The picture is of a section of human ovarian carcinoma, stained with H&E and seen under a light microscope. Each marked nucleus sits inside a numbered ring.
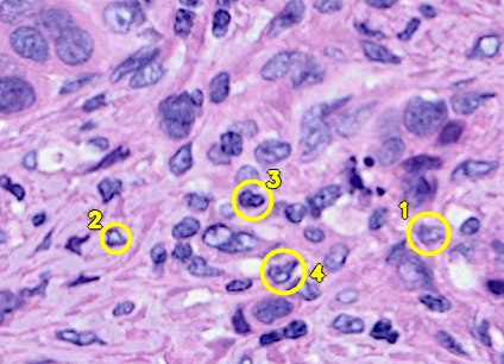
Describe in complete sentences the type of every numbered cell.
Cell 1 is a fibroblast, cell 2 is a fibroblast, cell 3 is a lymphocyte and cell 4 is a fibroblast.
